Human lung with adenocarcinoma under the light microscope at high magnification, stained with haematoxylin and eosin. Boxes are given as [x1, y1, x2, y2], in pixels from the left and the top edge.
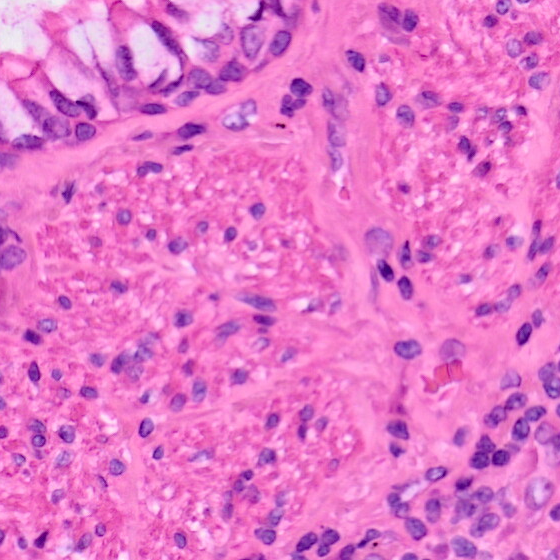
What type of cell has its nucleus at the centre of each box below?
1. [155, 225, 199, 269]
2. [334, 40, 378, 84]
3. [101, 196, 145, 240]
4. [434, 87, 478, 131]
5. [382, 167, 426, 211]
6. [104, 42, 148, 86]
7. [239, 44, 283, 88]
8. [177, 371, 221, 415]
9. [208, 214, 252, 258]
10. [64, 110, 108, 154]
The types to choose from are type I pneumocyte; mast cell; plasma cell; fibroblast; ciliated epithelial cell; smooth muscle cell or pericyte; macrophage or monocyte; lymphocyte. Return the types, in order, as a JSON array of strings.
["smooth muscle cell or pericyte", "mast cell", "smooth muscle cell or pericyte", "smooth muscle cell or pericyte", "smooth muscle cell or pericyte", "ciliated epithelial cell", "ciliated epithelial cell", "smooth muscle cell or pericyte", "smooth muscle cell or pericyte", "ciliated epithelial cell"]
